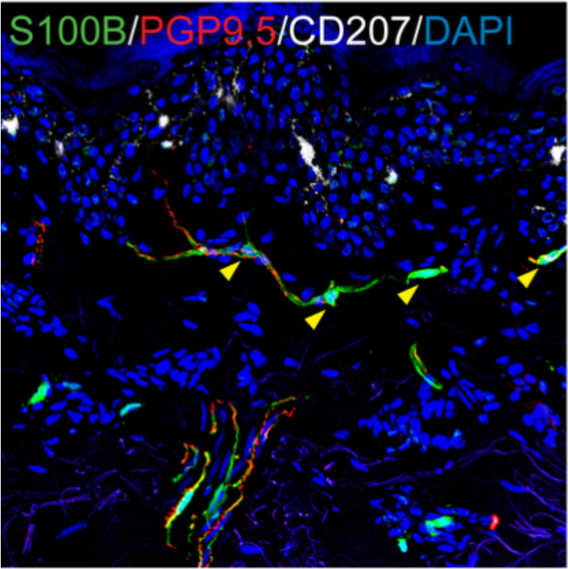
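This is skin with a densely nucleated epidermis at the top and looser dermis below, where thin red nerve fibres run beneath the epidermis. Elongated green Schwann cells lie along these fibres, often wrapped around them so the two colours overlap. Branched white cells sit within the epidermis above.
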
